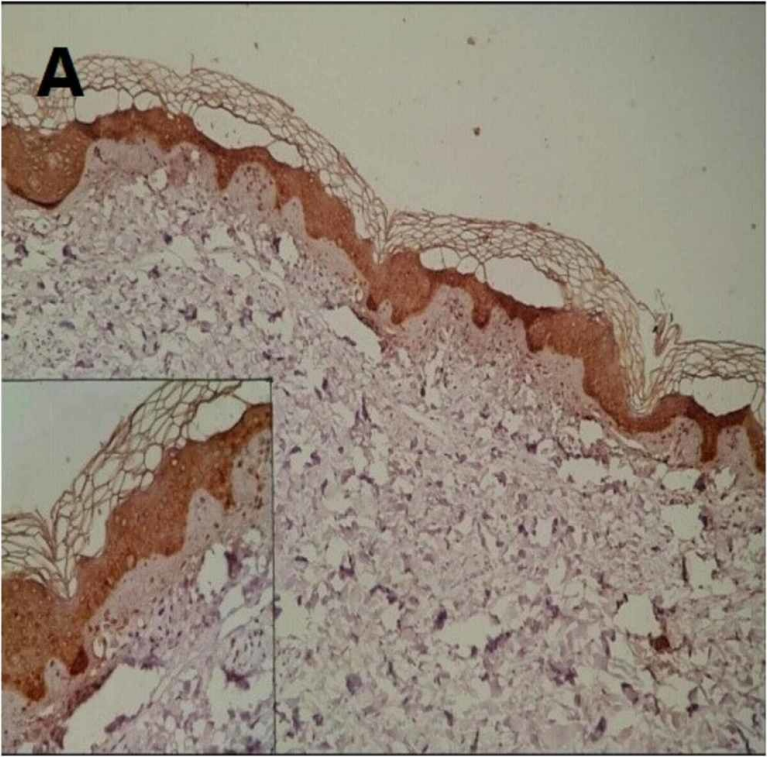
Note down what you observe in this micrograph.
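This is skin, with the stratified squamous epidermis of keratinocytes stained brown throughout its thickness. Above it lies a loose basket-weave cornified layer whose thin outlines are faintly brown. The epidermis forms an undulating layer with short rete ridges projecting into the dermis. The dermis below is pale and loosely textured, with scattered purple nuclei among the collagen fibres. The inset at higher power shows the brown-stained epidermis and the pale upper dermis beneath it.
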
